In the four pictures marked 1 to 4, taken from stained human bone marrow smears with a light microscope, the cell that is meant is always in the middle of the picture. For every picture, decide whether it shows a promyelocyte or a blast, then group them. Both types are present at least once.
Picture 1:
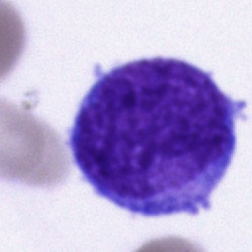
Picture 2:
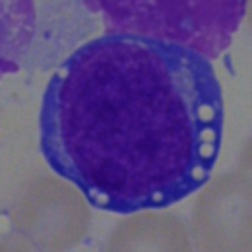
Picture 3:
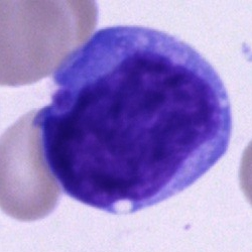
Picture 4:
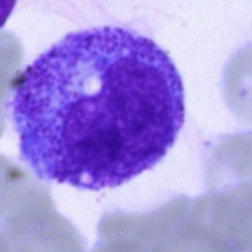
1: blast
2: blast
3: blast
4: promyelocyte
